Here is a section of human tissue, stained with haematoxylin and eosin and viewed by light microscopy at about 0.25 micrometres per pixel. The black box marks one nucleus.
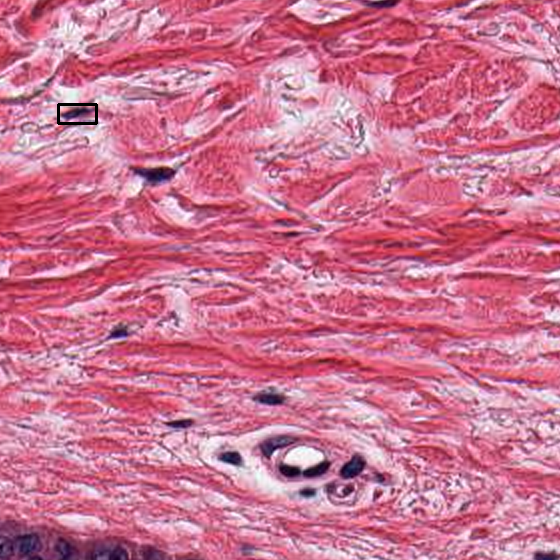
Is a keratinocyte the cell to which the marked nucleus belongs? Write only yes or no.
no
